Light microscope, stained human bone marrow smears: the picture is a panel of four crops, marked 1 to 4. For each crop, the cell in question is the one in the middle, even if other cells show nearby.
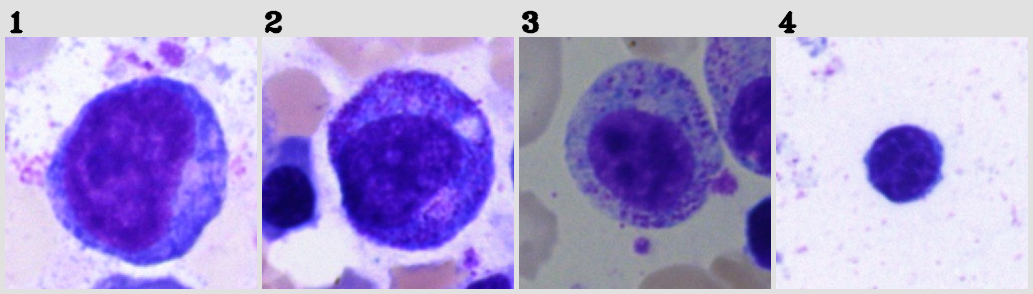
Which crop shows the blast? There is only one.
1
